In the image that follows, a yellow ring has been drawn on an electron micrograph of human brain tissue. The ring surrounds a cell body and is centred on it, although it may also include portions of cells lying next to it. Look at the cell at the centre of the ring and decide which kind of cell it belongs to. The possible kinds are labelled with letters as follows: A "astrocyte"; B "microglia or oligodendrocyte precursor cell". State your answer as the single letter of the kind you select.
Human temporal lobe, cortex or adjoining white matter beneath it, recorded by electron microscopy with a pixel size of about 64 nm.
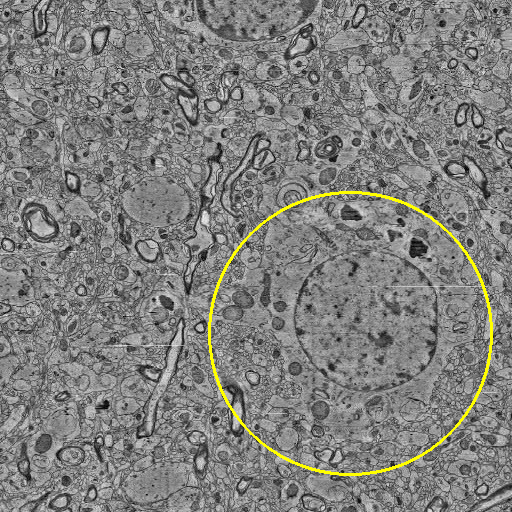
A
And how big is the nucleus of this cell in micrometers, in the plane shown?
The nucleus is approximately 9 micrometers across in this plane.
